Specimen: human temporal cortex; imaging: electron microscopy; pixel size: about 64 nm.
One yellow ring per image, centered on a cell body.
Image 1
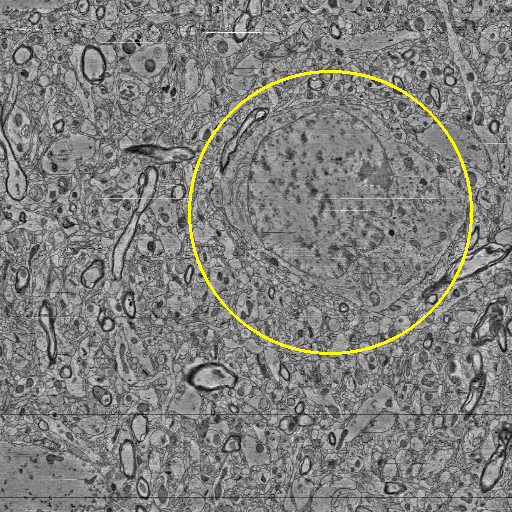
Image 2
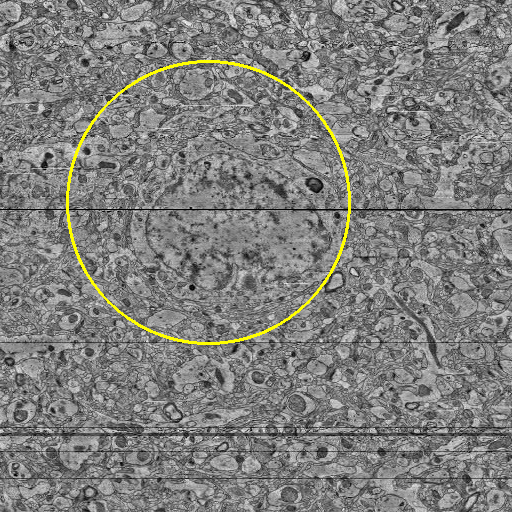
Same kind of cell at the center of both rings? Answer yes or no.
yes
